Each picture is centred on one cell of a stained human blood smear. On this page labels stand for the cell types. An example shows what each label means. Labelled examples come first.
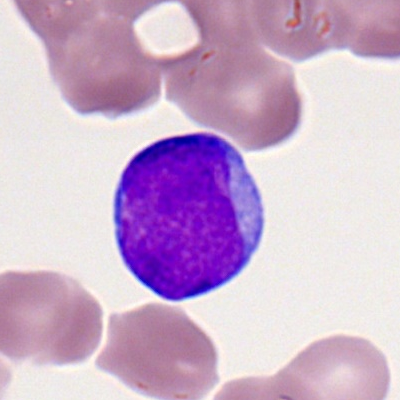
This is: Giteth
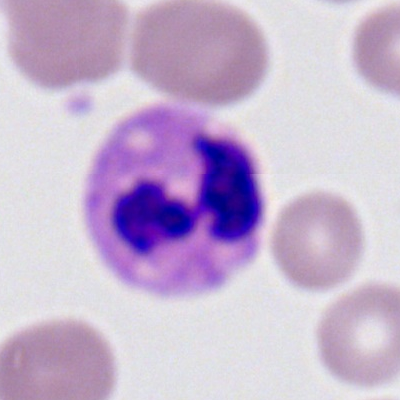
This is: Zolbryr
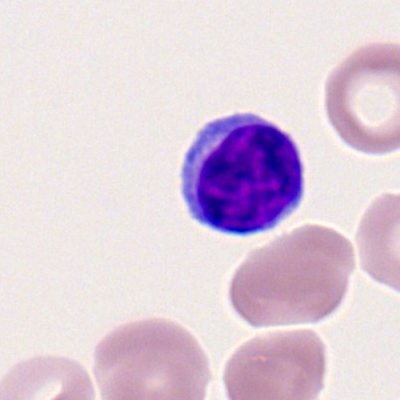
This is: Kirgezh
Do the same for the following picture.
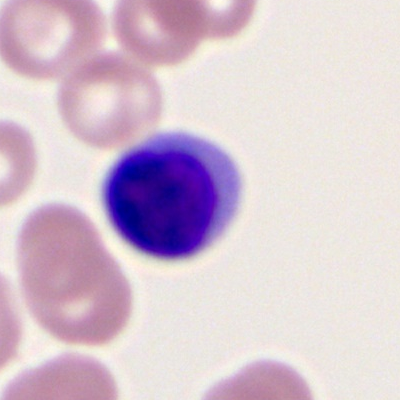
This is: Kirgezh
